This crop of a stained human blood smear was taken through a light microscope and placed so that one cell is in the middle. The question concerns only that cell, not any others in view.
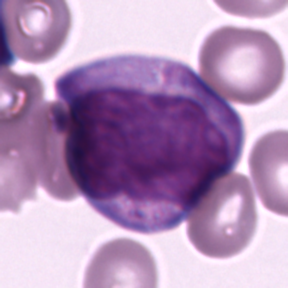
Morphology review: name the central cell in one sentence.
The cell the crop is centered on is an atypical promyelocyte.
